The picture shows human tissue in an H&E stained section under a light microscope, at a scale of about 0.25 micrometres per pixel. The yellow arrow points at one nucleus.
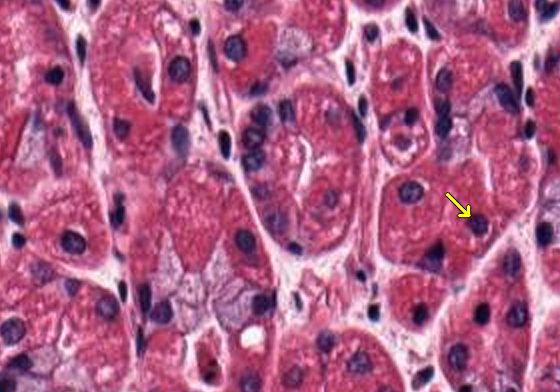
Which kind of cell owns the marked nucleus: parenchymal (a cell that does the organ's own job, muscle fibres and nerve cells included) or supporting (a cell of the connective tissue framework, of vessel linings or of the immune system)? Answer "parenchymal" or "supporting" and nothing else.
parenchymal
